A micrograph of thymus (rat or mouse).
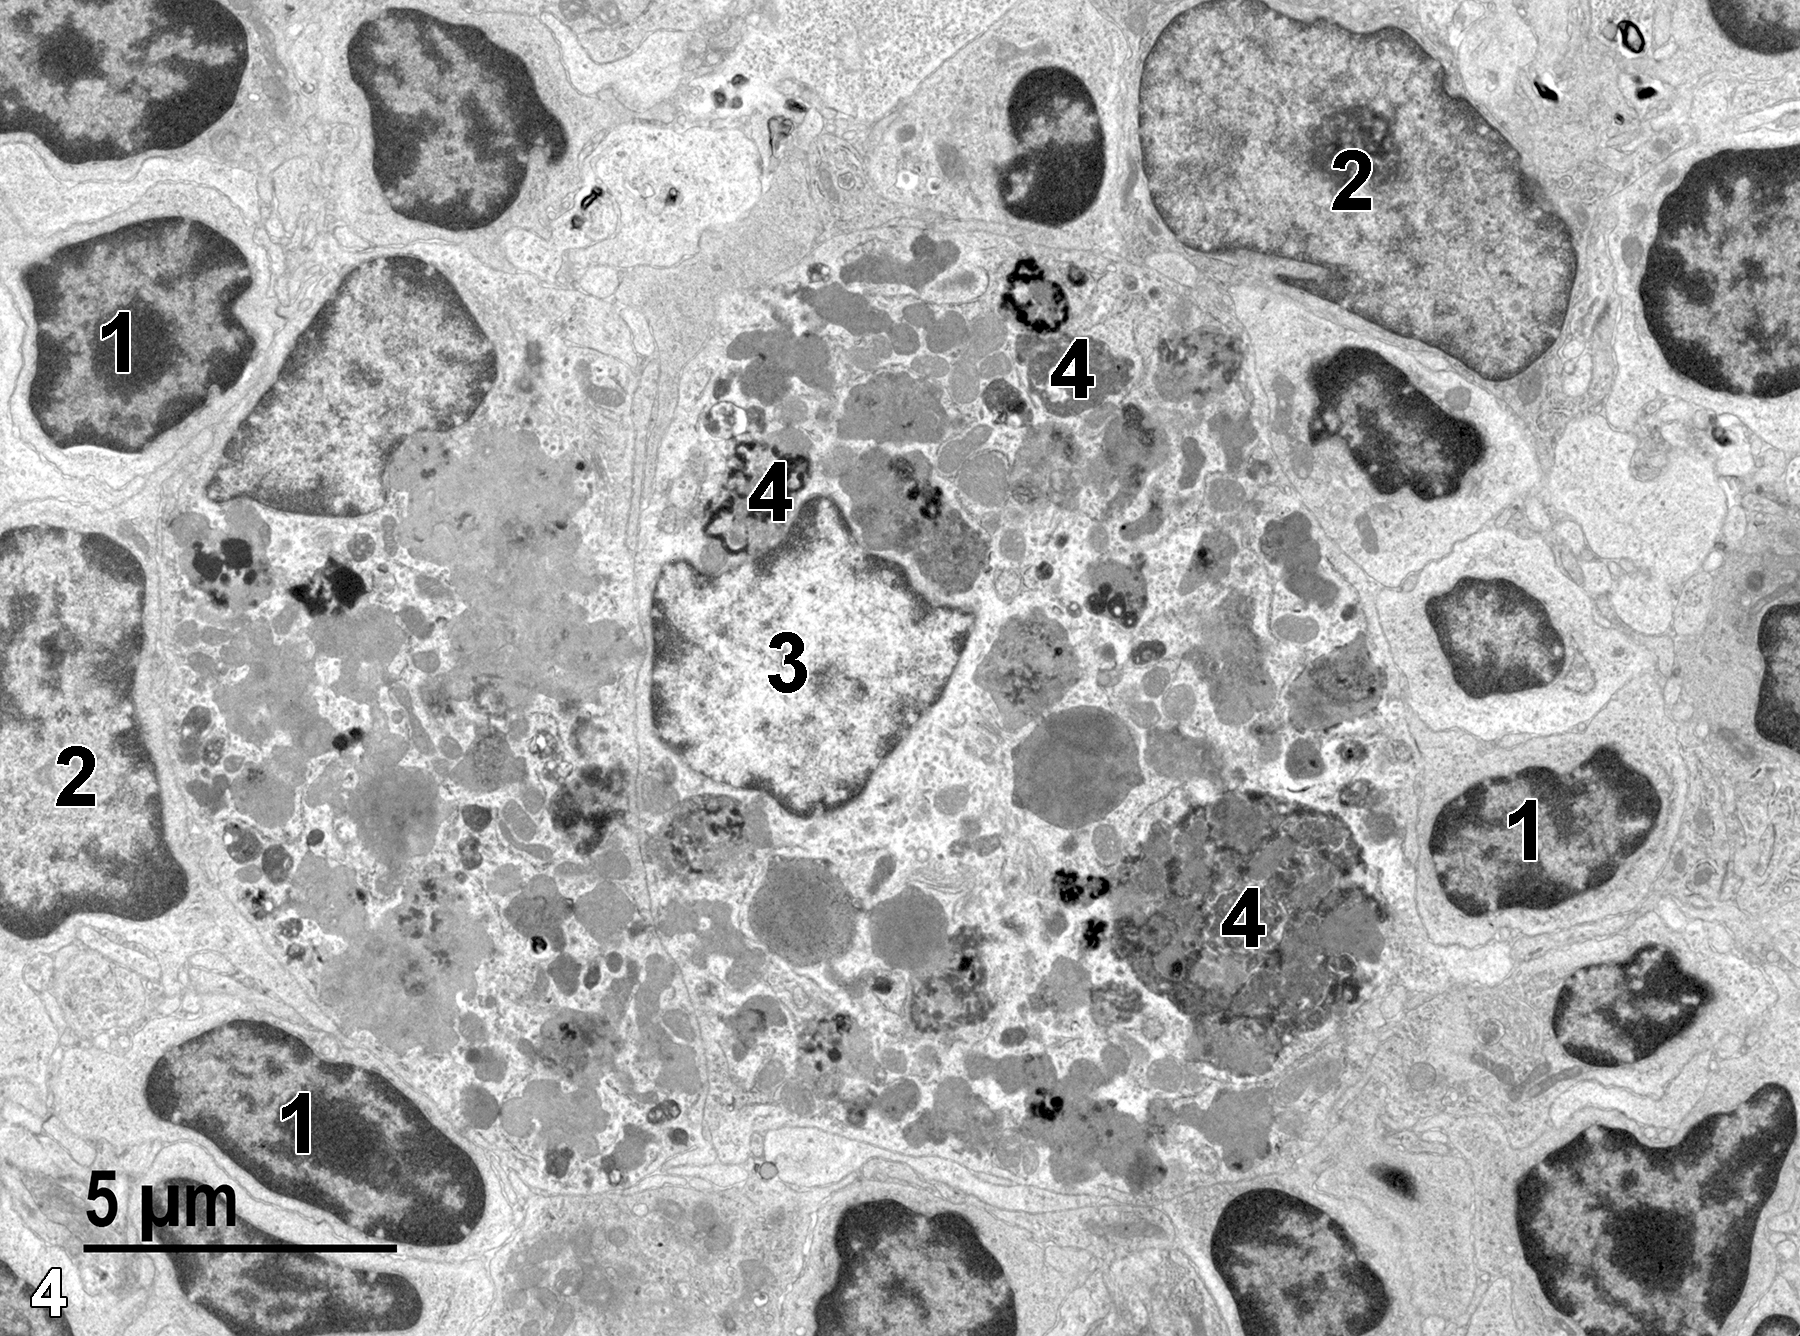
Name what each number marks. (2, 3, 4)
(2) nuclei of reticular epithelial cells
(3) nucleus
(4) lysosomes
